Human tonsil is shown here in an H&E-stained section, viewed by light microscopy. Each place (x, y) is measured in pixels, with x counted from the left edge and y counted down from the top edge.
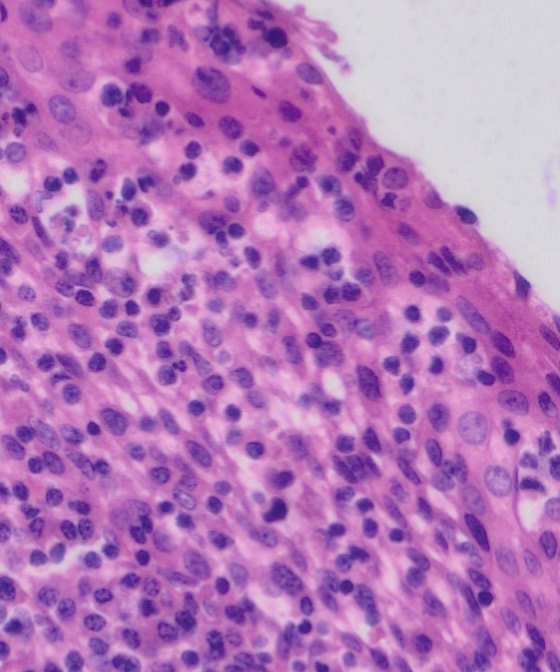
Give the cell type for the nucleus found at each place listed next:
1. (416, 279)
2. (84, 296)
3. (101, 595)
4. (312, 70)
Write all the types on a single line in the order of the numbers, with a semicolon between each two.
squamous epithelial cell; plasma cell; plasma cell; squamous epithelial cell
